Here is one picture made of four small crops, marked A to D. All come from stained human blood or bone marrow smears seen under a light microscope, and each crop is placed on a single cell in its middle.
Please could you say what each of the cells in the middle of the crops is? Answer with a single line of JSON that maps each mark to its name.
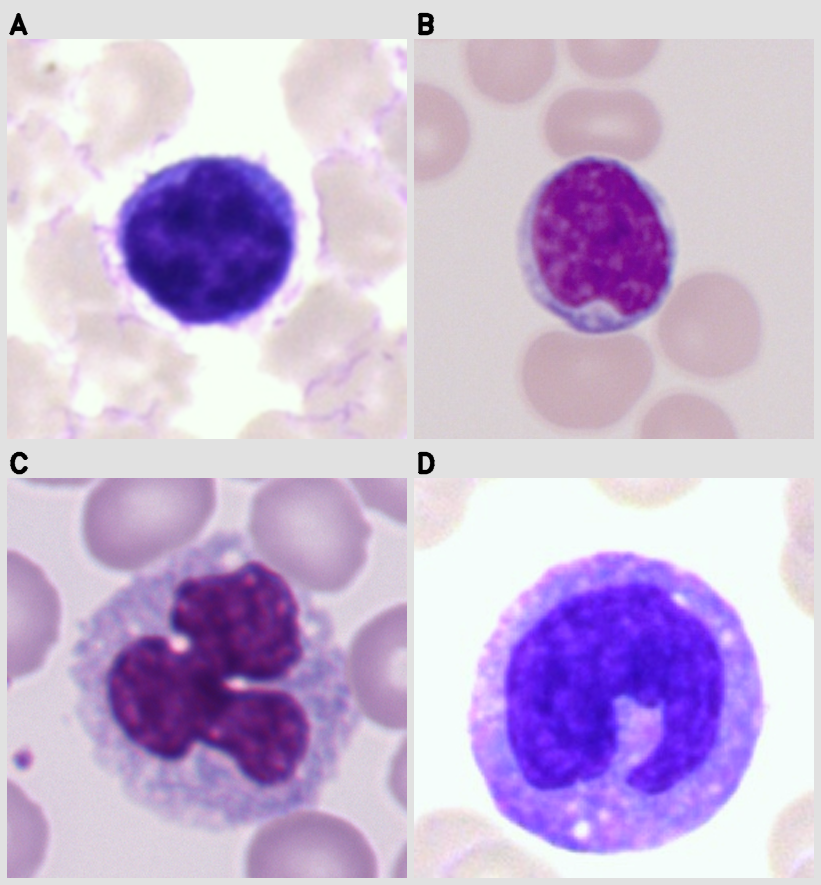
{"A": "lymphocyte", "B": "lymphocyte", "C": "monocyte", "D": "monocyte"}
